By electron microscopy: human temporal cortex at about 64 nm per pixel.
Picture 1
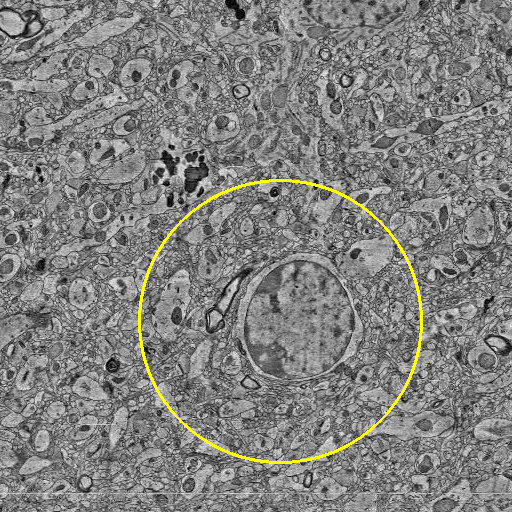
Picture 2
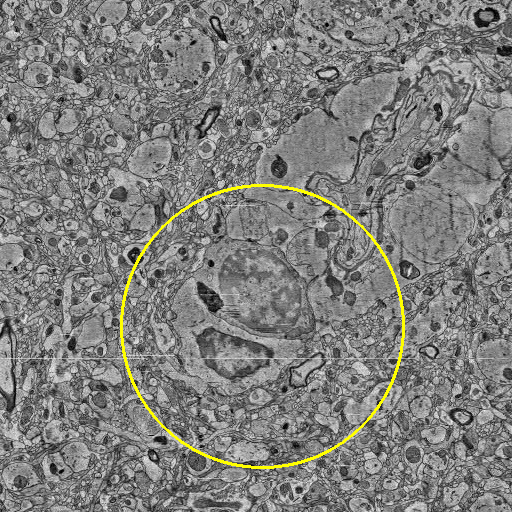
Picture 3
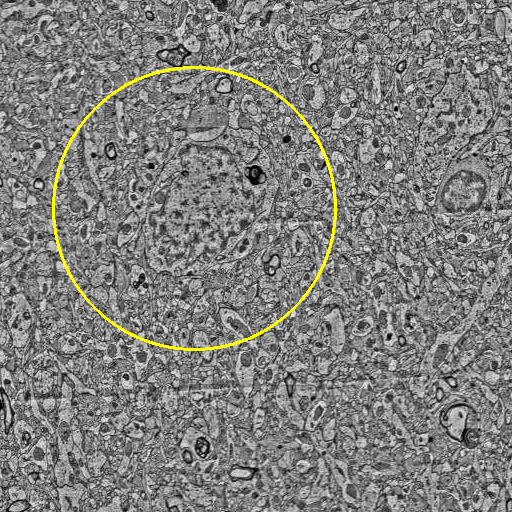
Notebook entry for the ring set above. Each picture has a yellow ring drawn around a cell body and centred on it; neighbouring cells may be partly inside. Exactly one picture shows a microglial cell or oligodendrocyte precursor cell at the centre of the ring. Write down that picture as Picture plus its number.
Picture 1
